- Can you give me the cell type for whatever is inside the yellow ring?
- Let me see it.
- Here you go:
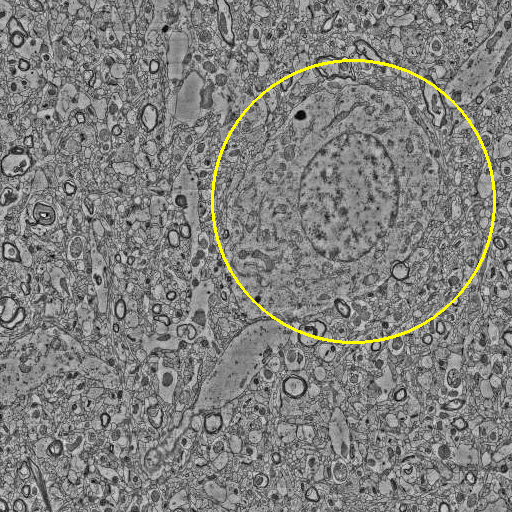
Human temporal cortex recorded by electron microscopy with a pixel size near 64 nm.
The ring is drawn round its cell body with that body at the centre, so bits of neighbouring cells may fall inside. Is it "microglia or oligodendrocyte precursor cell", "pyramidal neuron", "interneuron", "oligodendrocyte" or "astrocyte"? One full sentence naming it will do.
The cell body in the middle of the ring in this picture belongs to an interneuron.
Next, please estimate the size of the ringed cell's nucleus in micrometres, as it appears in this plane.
Approximately 8 x 6 micrometres in this plane.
